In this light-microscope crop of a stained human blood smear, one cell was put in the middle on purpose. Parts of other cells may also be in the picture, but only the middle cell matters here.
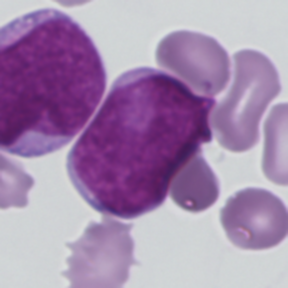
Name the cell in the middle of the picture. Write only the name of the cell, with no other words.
myeloblast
